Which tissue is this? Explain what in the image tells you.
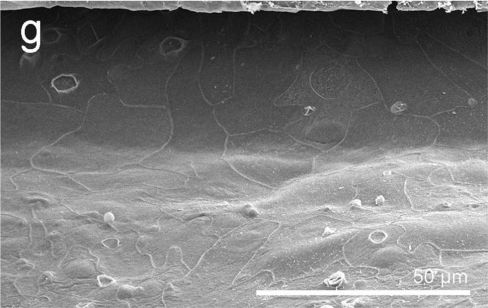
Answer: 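A smooth surface divided into polygonal cell outlines. No rows of hair cells or hair bundles are visible.
Answer: Flat epithelium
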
